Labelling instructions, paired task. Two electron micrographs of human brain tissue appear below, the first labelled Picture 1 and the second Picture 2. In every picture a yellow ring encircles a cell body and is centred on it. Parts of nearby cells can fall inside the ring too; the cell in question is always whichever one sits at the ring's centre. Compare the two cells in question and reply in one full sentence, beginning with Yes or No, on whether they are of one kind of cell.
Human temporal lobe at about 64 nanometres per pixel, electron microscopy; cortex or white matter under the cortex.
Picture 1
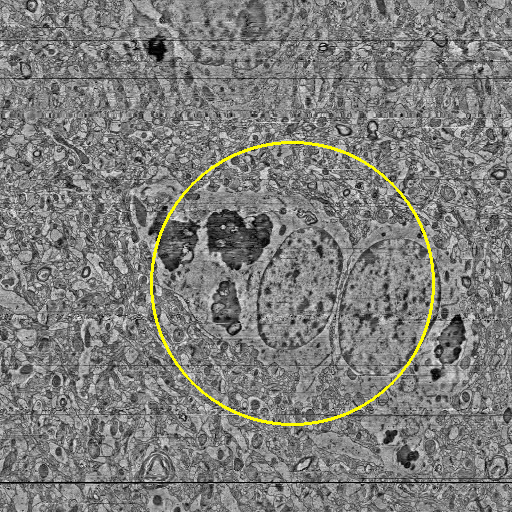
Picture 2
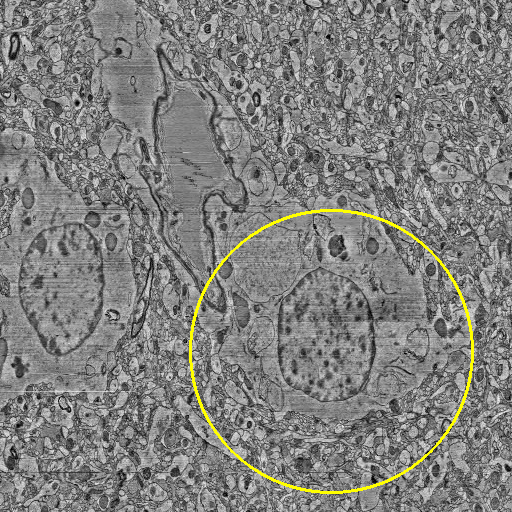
Yes, the two cells at the ring centres in Picture 1 and Picture 2 are of one kind.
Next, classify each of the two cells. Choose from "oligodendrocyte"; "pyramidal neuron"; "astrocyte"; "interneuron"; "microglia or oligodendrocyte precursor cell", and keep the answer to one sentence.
Both rings mark an astrocyte, one in each picture.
